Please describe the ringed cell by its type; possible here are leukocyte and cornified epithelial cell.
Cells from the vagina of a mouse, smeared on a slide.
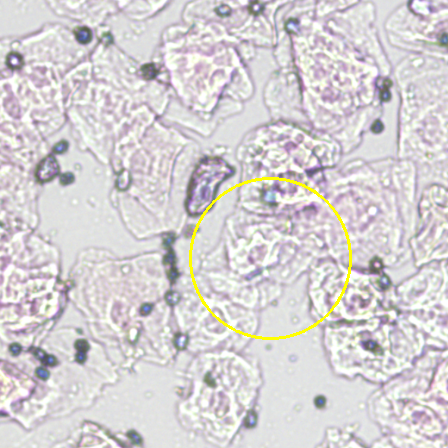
The yellow ring marks a cornified epithelial cell.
